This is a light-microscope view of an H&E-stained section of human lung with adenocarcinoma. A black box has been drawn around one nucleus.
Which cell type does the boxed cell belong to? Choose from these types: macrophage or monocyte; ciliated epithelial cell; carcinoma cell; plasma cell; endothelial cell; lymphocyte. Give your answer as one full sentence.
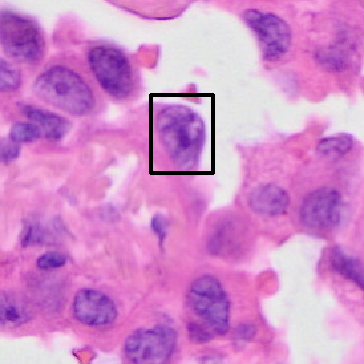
Right, so the boxed cell is a carcinoma cell, to answer that.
